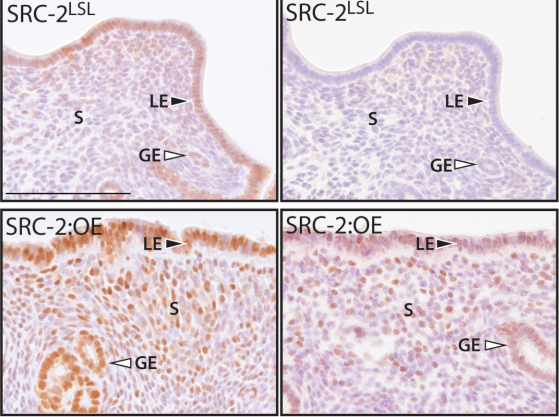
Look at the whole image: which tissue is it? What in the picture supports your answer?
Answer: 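A single columnar epithelium lines a surface above a cellular stroma. Round to oval glands lined by columnar cells sit within the stroma. The stroma is made of densely packed small cells with oval nuclei. So: endometrium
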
